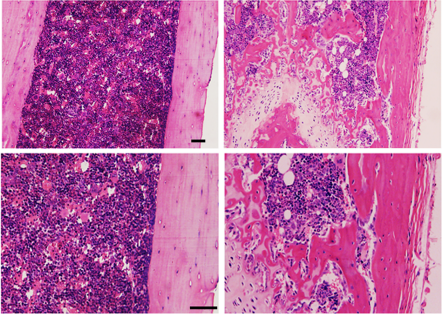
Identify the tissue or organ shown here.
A: bone marrow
